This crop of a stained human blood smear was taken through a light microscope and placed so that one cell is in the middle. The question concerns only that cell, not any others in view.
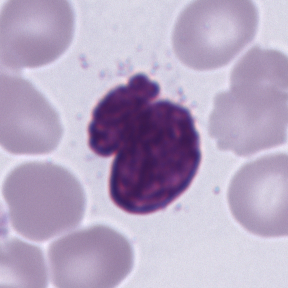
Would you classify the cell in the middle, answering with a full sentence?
For this crop, the central cell is a smudge cell.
